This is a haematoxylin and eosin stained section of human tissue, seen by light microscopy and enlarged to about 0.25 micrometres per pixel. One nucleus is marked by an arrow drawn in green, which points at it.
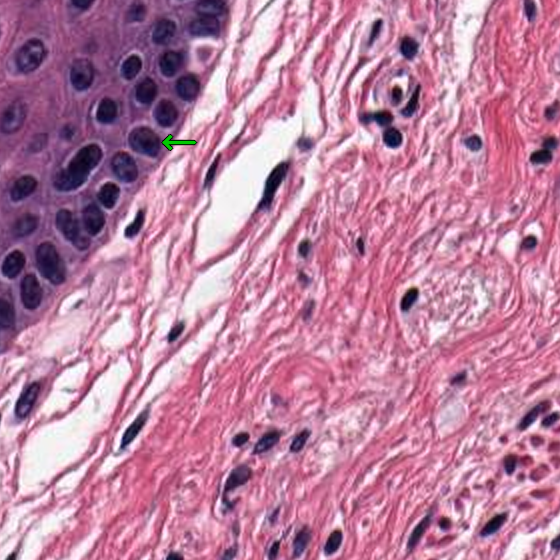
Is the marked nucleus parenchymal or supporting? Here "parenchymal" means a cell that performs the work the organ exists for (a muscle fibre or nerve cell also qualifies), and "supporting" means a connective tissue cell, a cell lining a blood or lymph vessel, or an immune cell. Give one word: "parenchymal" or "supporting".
parenchymal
